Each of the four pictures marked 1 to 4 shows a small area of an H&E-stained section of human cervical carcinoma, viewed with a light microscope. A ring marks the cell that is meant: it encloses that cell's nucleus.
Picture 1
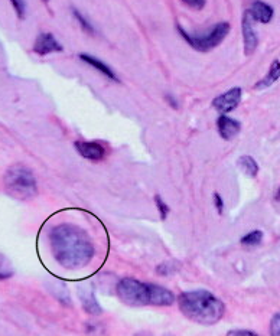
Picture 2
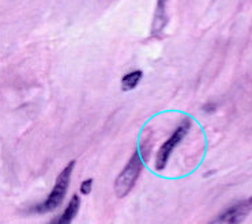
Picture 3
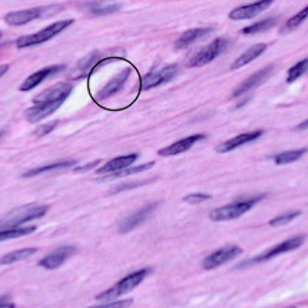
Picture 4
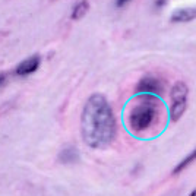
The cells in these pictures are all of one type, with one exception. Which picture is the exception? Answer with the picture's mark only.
2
